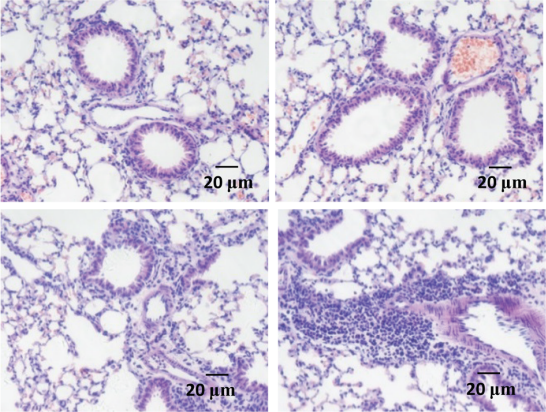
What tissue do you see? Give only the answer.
lungs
